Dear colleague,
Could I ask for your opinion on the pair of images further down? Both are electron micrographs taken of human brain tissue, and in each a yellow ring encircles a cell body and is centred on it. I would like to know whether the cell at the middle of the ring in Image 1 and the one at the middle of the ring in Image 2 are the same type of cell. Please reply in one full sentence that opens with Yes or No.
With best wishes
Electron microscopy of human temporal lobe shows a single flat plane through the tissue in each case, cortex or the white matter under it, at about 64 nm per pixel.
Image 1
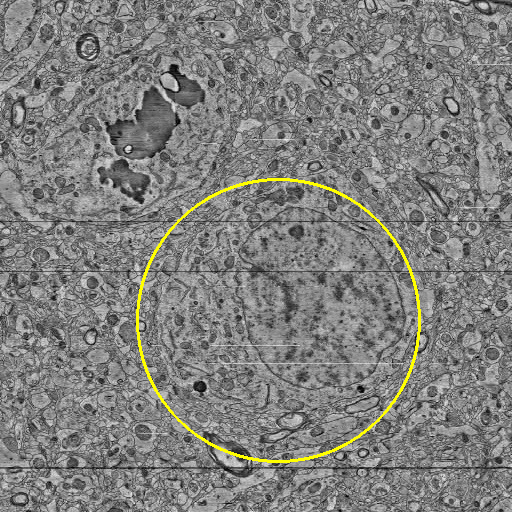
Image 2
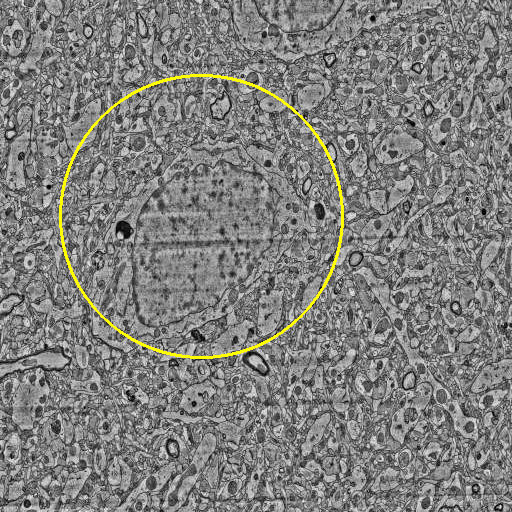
Yes, the cells at the ring centres in Image 1 and Image 2 are of one type.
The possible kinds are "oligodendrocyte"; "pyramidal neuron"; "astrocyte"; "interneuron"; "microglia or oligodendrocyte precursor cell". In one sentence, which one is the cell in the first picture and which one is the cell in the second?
In both pictures the ring is centred on an interneuron.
